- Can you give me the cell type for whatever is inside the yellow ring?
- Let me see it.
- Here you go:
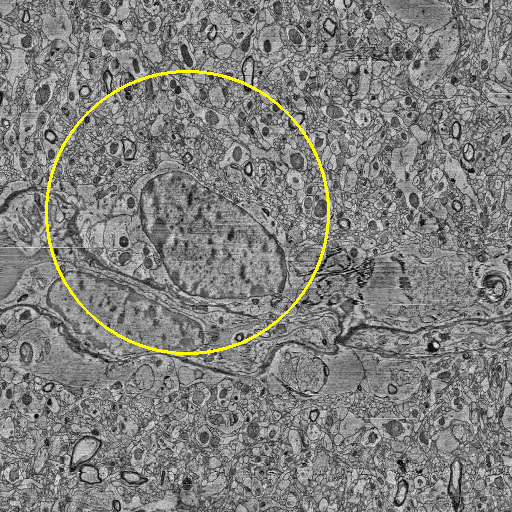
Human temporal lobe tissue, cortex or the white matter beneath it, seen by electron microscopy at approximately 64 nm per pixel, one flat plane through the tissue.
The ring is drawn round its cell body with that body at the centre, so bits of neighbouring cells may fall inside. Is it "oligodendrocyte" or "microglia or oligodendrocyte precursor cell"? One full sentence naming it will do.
The cell body in the middle of the ring in this picture belongs to a microglial cell or oligodendrocyte precursor cell.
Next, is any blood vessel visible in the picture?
Yes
